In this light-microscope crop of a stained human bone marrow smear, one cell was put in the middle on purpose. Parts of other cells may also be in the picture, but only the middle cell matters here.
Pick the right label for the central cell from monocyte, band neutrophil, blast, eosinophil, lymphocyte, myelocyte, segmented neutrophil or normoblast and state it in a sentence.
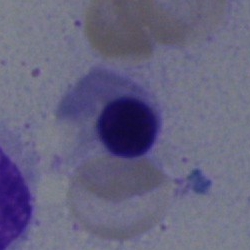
For this crop, the central cell is a normoblast.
